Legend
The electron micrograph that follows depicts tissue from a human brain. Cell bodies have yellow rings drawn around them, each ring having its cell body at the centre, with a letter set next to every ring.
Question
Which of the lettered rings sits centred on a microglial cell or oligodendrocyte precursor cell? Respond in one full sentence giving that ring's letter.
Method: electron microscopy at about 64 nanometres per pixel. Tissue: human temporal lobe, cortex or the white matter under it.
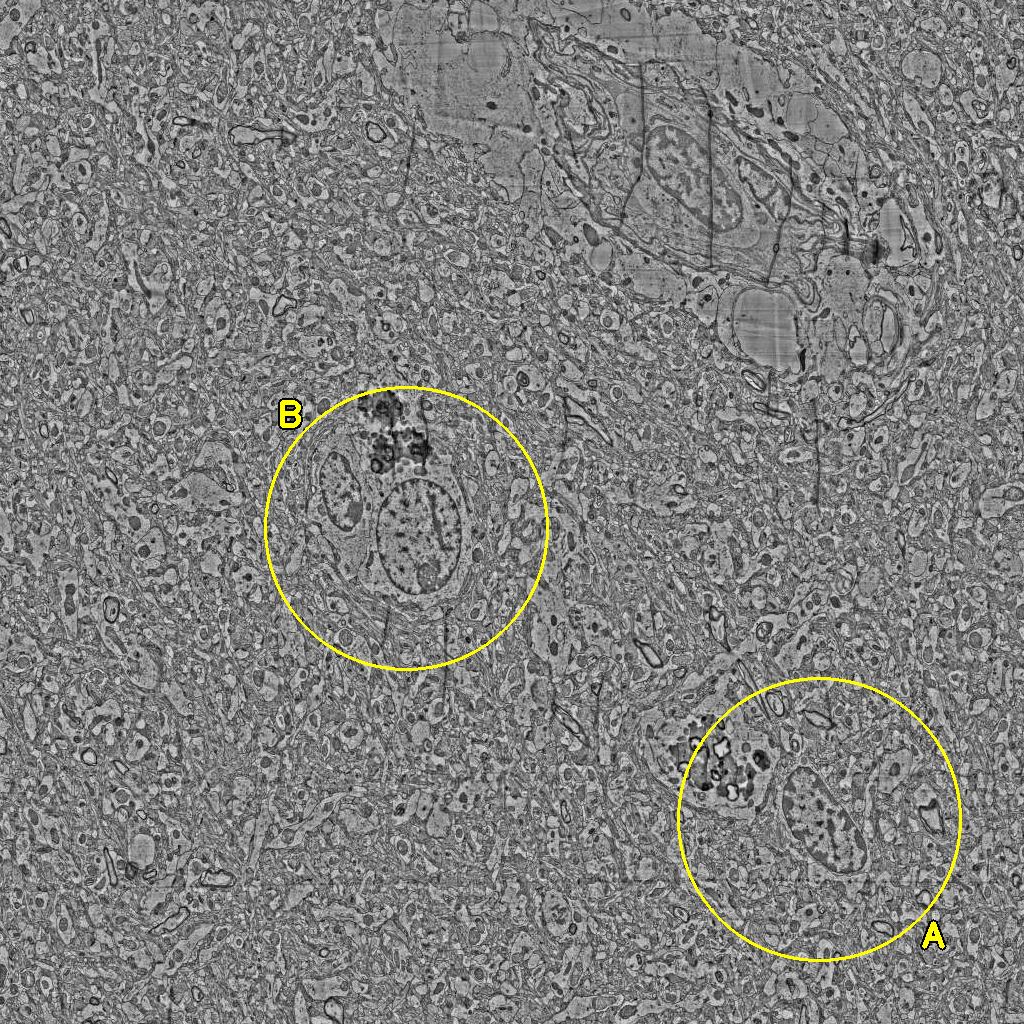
The letter A belongs to the ring centred on the cell asked about in the micrograph.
